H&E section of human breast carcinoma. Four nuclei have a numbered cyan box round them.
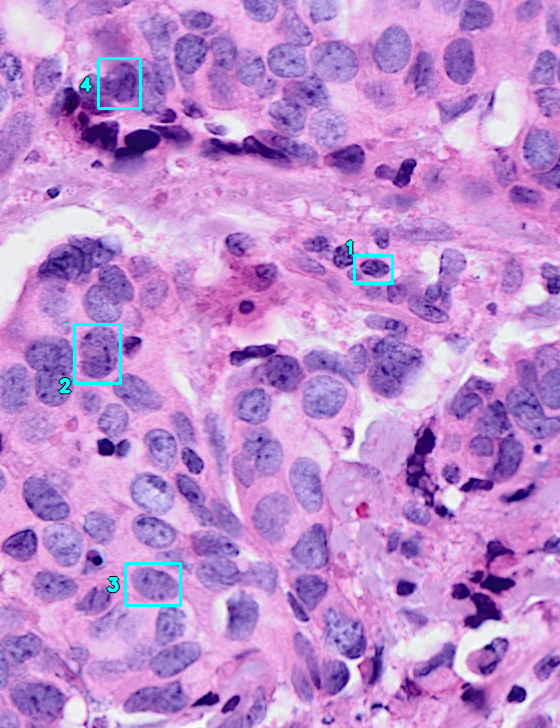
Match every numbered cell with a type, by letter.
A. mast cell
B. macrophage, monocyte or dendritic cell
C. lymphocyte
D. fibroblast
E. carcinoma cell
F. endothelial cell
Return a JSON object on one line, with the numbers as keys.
{"1": "C", "2": "E", "3": "E", "4": "E"}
